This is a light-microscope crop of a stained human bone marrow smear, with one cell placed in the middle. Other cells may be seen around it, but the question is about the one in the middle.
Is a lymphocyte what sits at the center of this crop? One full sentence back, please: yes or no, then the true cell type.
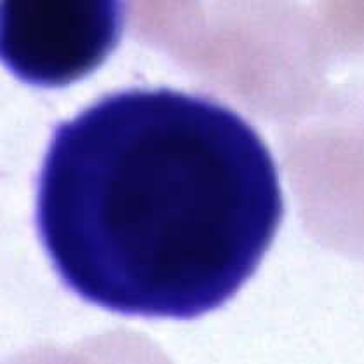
No, sorry, the middle cell is a plasma cell rather than a lymphocyte.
